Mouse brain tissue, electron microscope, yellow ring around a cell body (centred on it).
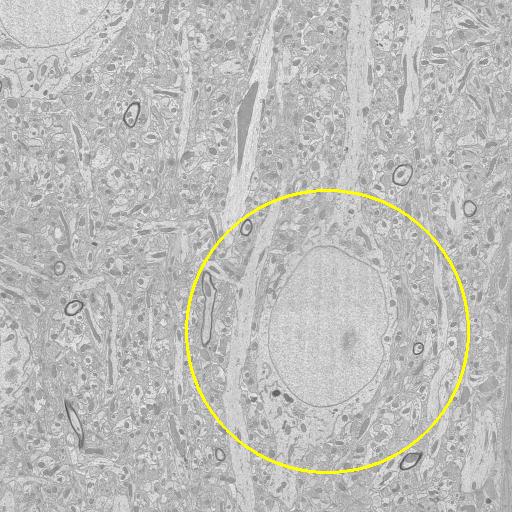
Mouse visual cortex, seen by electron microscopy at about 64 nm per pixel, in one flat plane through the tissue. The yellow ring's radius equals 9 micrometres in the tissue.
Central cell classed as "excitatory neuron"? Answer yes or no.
yes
